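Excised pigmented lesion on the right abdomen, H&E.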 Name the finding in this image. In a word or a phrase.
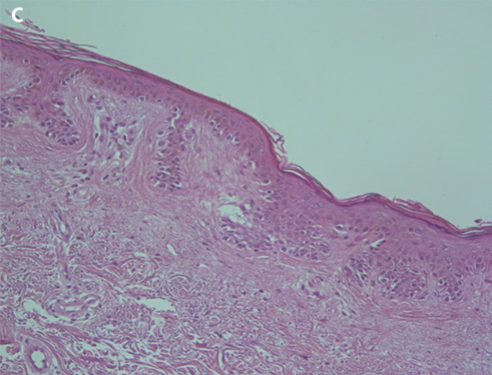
Dysplastic nevus.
